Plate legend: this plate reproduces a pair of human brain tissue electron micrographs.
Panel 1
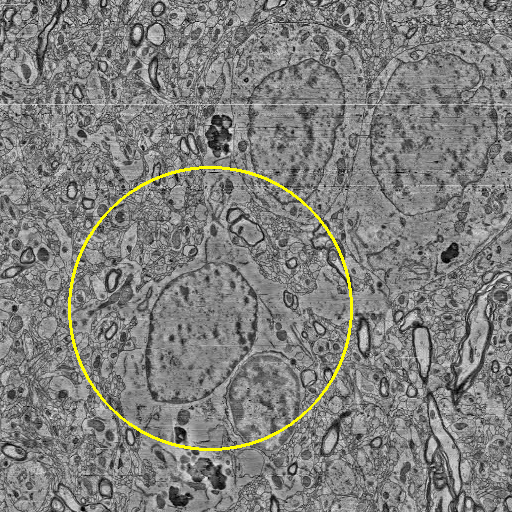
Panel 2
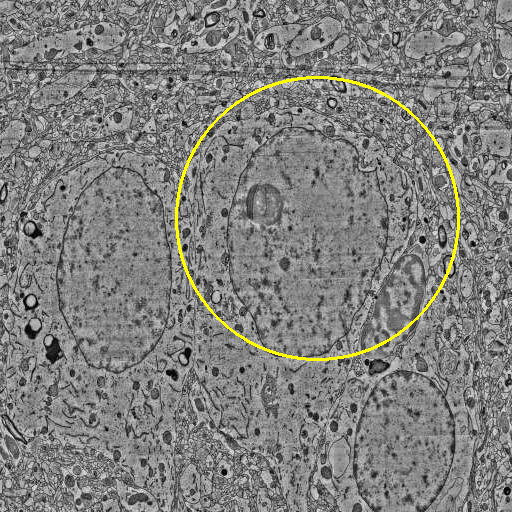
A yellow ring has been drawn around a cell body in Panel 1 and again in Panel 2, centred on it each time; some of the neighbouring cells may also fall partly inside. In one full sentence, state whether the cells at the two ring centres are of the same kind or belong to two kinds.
The ring-centred cells of Panel 1 and Panel 2 belong to two kinds.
